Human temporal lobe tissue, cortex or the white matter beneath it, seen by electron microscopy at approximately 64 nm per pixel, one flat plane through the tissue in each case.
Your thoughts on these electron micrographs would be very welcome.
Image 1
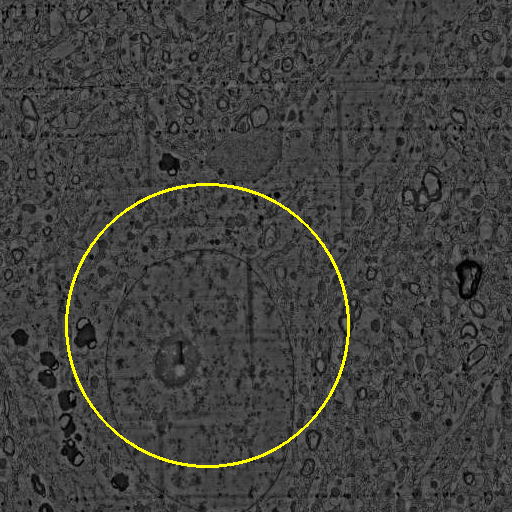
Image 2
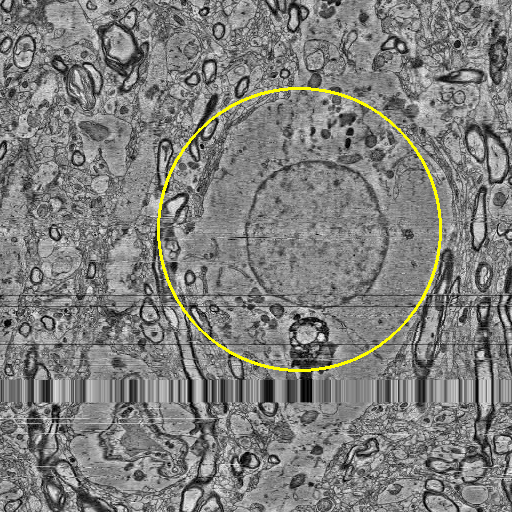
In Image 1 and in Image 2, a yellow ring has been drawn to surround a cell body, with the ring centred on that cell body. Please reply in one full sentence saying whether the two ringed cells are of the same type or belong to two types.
The ringed cells in Image 1 and Image 2 belong to two types.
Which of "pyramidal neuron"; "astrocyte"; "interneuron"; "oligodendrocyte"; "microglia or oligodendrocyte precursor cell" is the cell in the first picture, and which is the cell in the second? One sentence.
The two differ: the first cell is a pyramidal neuron and the second is an astrocyte.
